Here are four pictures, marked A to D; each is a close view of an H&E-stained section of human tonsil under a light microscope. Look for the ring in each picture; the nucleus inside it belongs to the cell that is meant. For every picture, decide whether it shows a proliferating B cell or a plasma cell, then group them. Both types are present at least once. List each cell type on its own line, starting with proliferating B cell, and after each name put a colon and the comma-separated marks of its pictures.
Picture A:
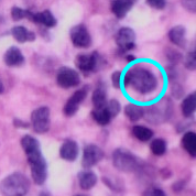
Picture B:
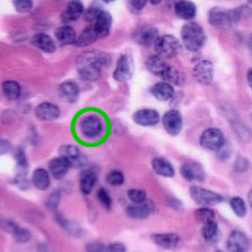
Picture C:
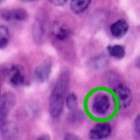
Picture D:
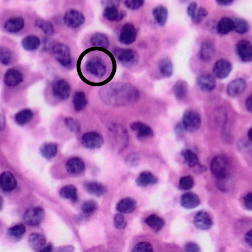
proliferating B cell: A
plasma cell: B, C, D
